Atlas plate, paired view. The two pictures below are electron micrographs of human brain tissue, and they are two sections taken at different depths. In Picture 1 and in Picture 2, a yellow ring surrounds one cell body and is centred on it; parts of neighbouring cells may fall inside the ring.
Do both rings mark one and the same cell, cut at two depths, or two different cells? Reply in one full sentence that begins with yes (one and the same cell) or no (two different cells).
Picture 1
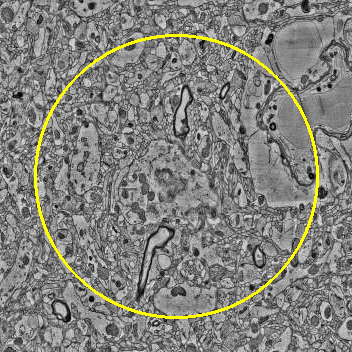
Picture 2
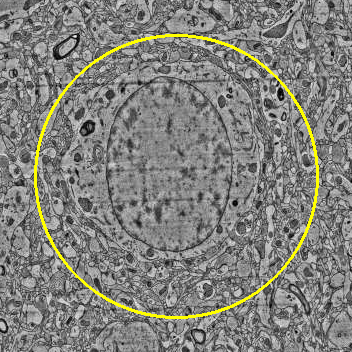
No, one ring and the other ring mark two distinct cells.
